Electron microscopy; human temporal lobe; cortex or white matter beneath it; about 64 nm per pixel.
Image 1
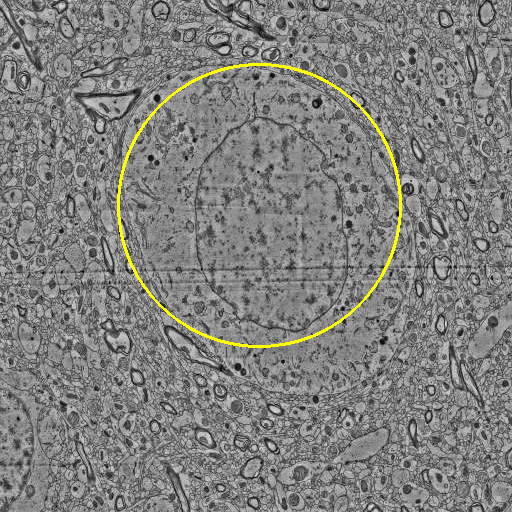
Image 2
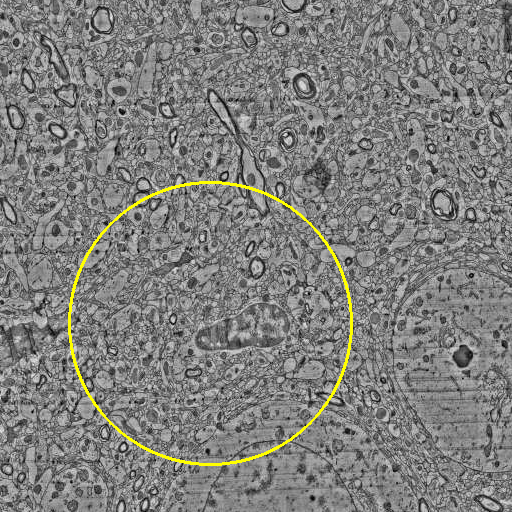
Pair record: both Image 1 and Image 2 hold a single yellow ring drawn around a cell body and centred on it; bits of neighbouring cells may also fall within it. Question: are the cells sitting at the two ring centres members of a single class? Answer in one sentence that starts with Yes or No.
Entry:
No, the ring-centre cells in Image 1 and Image 2 come from two classes.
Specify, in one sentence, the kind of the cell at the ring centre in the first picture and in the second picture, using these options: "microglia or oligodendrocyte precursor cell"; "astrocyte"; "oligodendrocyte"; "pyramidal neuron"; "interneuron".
So the first is a pyramidal neuron, the second a microglial cell or oligodendrocyte precursor cell.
